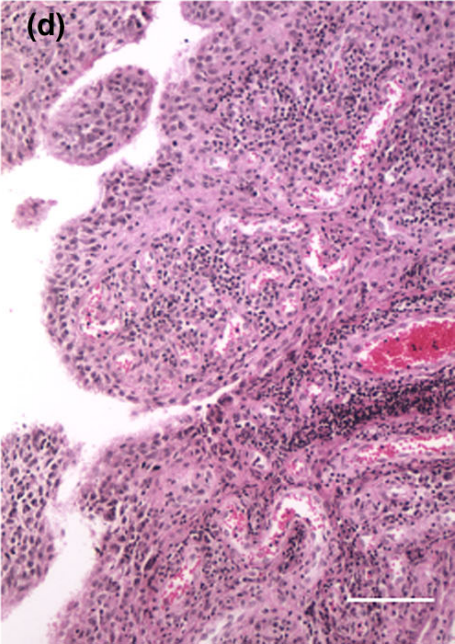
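This is synovium with thick, rounded folds separated by clear spaces, and the tissue is crowded with cells throughout. The lining along the folds is several cells deep, and the stroma beneath is packed with small, dark, round nuclei of inflammatory cells. Numerous vessels, some filled with red blood cells, run through the folds, and the dark cells cluster densely around them. Little pale pink matrix remains between the cells, unlike the loose fibrous tissue of quiet synovium.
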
